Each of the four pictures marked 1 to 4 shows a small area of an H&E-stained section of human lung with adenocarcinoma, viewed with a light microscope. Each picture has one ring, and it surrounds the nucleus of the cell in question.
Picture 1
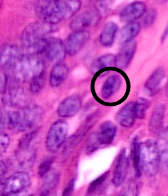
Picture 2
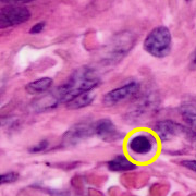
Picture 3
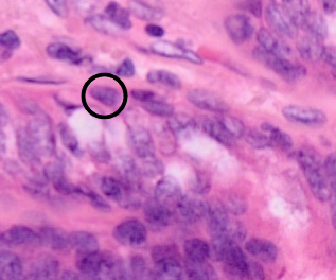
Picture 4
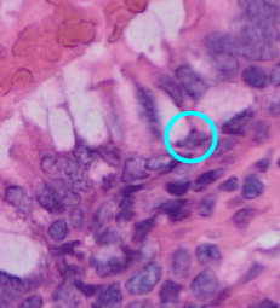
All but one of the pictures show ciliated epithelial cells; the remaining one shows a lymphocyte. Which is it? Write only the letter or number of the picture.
2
